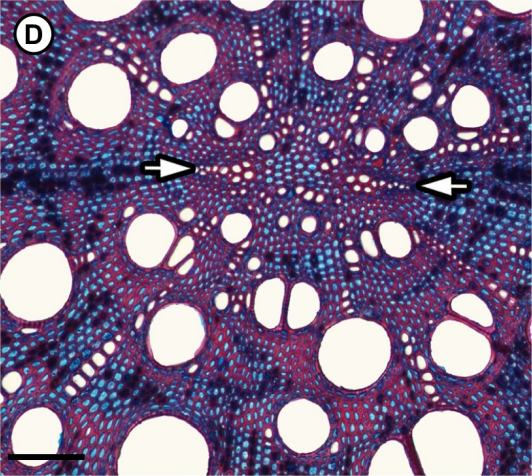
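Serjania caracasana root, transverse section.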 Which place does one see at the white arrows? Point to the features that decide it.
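The arrows point at the two ends of a band of small cells in the centre. The two ends lie opposite each other.
Hence: protoxylem poles.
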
